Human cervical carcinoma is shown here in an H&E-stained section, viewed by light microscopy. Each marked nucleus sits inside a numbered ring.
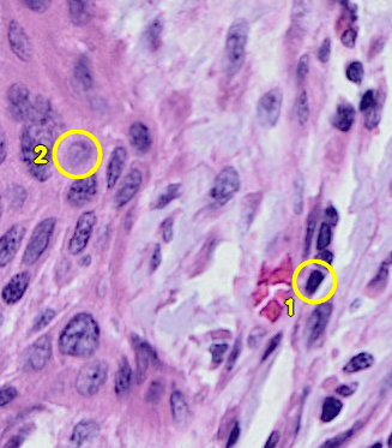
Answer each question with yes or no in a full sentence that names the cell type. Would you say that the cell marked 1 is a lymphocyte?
Yes, the cell at the mark numbered 1 is a lymphocyte.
